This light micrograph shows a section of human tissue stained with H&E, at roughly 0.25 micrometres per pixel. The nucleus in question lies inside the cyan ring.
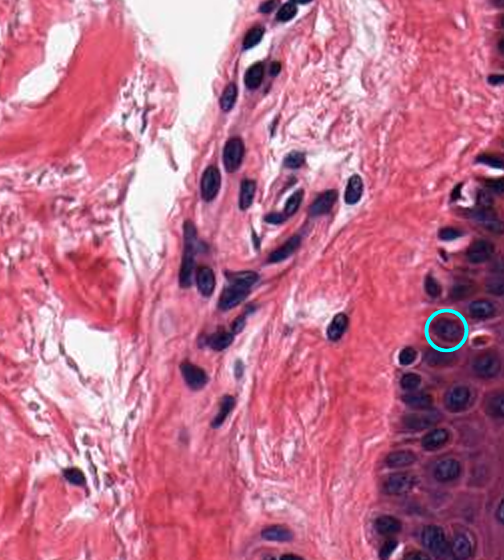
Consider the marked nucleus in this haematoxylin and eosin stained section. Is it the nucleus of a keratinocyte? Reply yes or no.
yes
